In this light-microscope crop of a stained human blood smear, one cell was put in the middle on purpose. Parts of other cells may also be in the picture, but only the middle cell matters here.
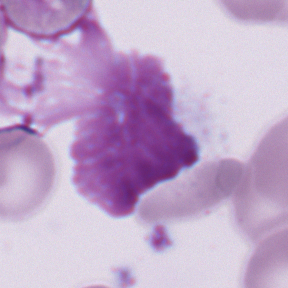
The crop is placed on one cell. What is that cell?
smudge cell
